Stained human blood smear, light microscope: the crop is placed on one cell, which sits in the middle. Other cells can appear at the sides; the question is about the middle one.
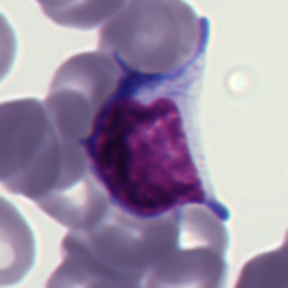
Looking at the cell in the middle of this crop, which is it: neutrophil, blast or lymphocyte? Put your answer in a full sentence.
By type, the central cell of the crop is a lymphocyte.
